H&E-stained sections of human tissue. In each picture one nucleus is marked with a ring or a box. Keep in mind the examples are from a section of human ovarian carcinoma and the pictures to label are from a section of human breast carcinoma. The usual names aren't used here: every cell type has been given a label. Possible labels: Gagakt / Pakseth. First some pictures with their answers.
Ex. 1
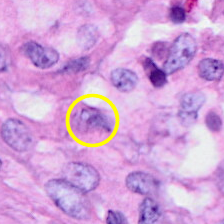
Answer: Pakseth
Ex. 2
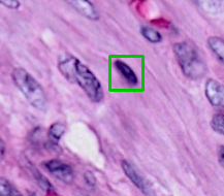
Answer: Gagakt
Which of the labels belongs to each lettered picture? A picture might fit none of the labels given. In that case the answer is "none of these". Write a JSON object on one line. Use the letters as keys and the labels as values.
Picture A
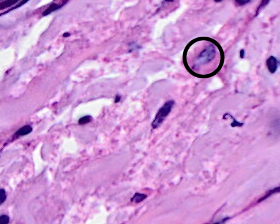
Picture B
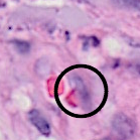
{"A": "none of these", "B": "none of these"}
